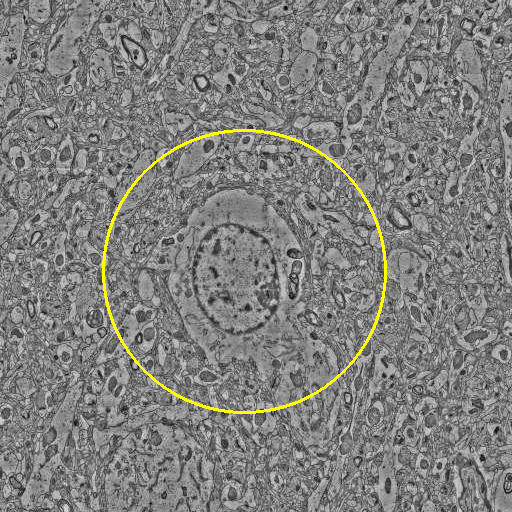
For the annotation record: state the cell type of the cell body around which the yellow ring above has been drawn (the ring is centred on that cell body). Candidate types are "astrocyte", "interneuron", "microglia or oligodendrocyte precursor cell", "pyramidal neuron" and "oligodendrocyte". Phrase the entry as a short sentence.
The ringed cell is an astrocyte.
